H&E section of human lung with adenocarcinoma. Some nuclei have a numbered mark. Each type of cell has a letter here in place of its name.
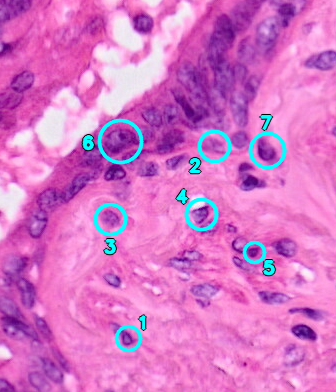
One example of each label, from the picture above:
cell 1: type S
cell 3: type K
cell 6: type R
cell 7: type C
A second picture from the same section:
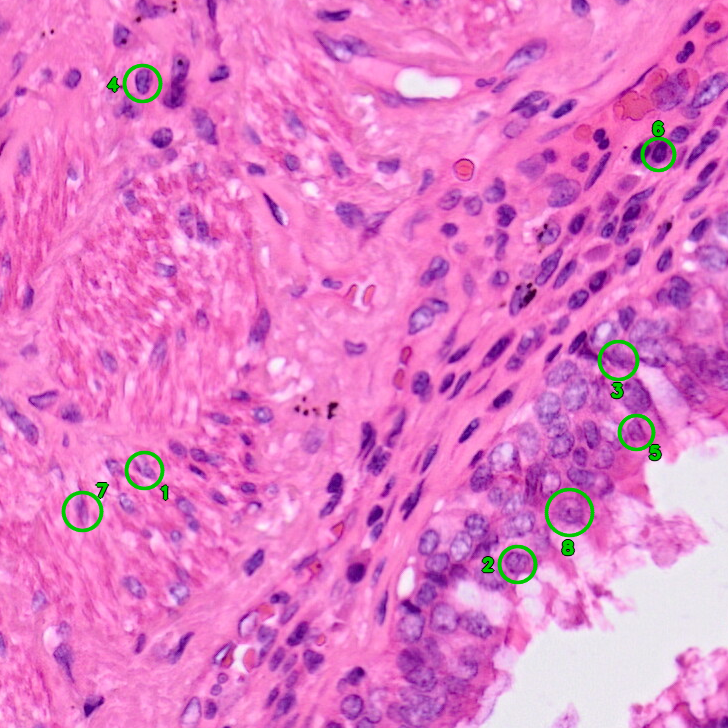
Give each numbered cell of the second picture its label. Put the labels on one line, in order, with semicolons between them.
type S; type R; type R; type K; type R; type C; type S; type R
